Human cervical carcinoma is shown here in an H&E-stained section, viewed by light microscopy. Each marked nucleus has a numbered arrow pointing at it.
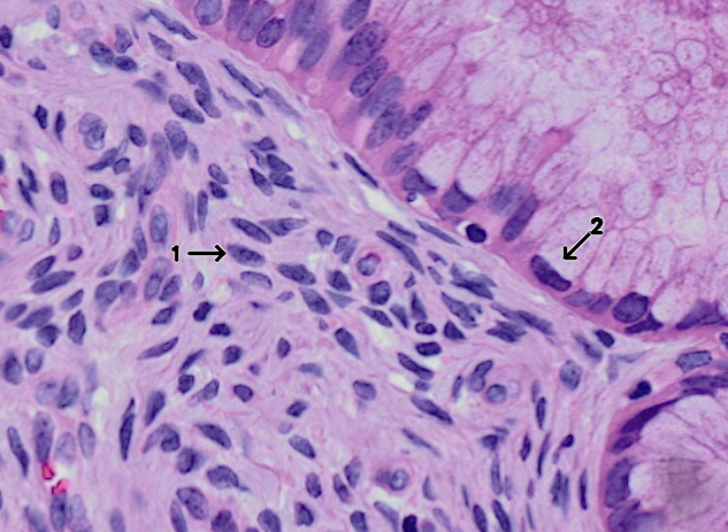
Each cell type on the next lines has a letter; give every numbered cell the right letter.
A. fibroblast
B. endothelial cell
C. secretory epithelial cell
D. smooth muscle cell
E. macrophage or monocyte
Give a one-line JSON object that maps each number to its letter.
{"1": "A", "2": "C"}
